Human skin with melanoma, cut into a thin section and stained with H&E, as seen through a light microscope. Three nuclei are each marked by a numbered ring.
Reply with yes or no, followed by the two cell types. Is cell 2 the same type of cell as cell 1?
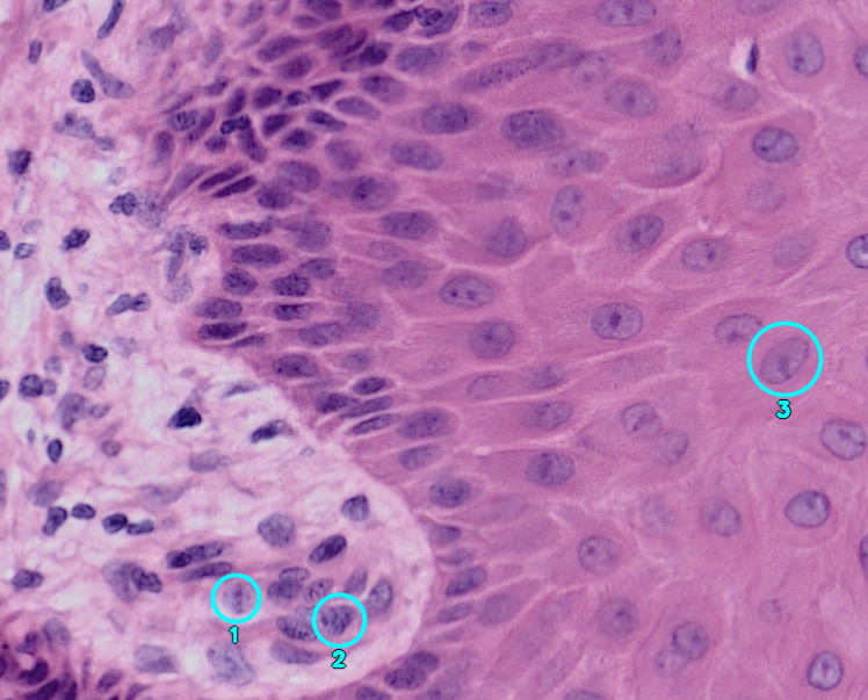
Yes, both are endothelial cells.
